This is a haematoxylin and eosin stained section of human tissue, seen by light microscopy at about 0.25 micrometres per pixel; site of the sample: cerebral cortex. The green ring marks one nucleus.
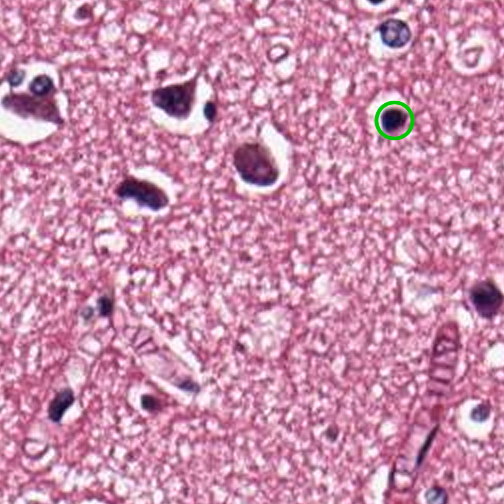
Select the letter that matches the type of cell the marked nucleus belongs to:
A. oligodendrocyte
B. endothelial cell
A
